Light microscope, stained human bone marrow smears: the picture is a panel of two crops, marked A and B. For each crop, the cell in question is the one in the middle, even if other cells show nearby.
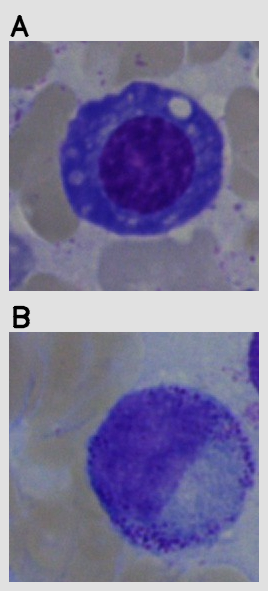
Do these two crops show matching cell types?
no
